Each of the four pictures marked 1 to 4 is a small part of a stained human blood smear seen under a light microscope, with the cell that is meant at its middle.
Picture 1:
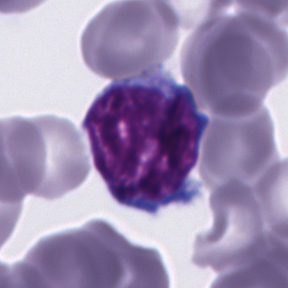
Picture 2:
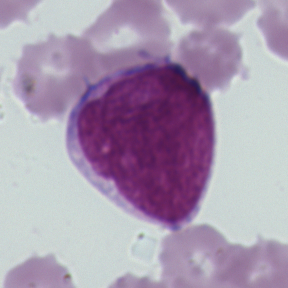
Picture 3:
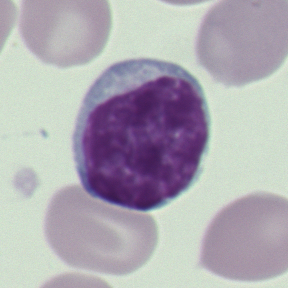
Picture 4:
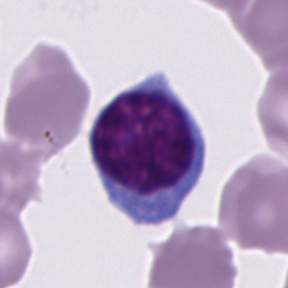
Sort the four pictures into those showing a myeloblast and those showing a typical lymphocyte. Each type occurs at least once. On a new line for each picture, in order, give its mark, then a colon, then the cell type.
1: typical lymphocyte
2: myeloblast
3: typical lymphocyte
4: typical lymphocyte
